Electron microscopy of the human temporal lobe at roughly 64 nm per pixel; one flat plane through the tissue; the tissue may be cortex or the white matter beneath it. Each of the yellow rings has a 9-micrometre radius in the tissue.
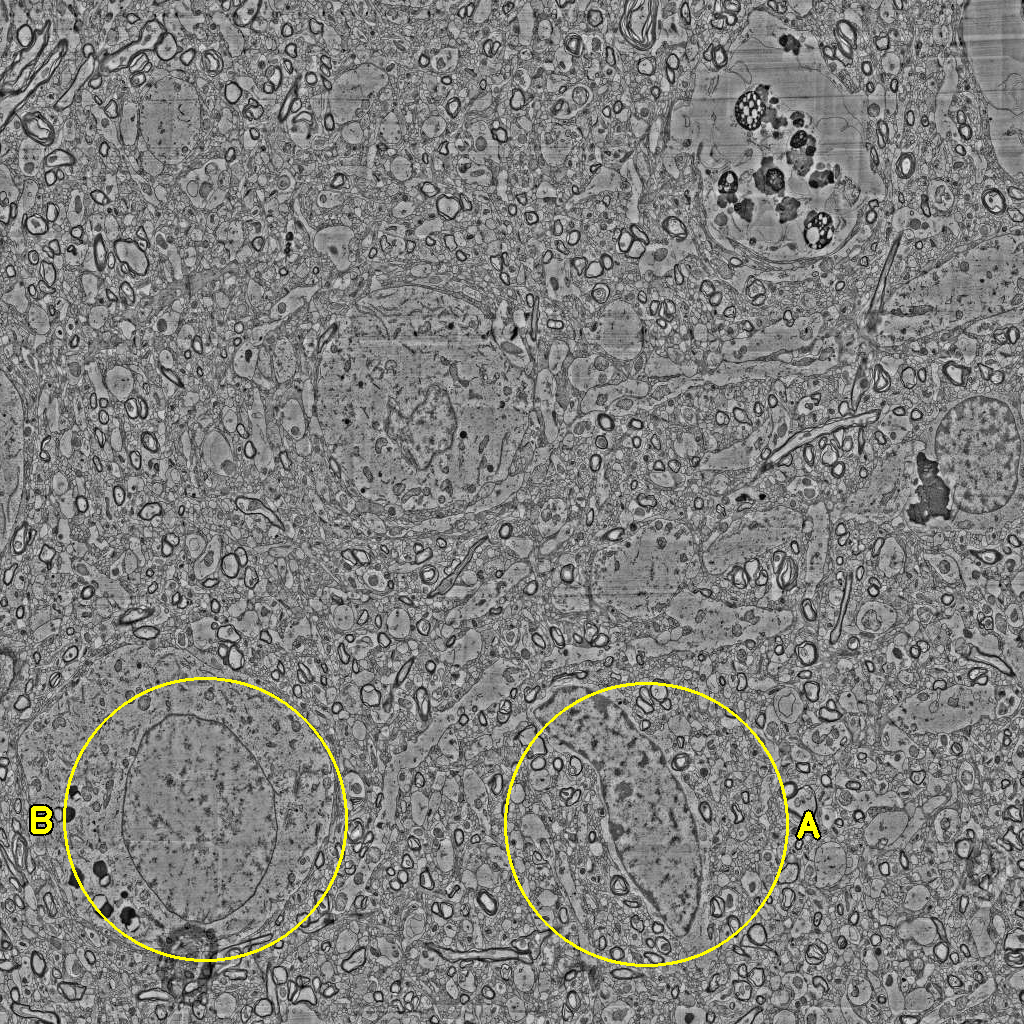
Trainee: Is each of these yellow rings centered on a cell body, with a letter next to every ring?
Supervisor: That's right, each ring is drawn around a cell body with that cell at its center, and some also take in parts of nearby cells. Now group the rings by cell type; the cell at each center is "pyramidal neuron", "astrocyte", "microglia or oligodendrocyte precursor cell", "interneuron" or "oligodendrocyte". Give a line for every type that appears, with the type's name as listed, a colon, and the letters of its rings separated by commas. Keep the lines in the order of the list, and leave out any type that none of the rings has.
pyramidal neuron: B
microglia or oligodendrocyte precursor cell: A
